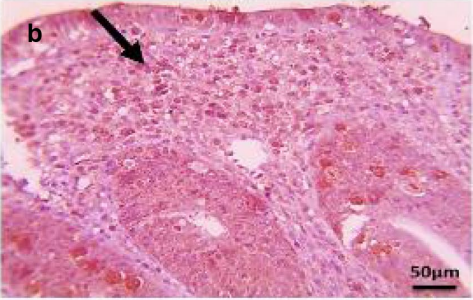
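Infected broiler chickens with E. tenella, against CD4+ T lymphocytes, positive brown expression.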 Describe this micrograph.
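Beneath a columnar surface epithelium, the lamina propria of the cecal mucosa is densely filled with small round cells, many of them stained reddish-brown, set between glands cut in cross section. The glands themselves also hold scattered brown-red rounded bodies.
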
